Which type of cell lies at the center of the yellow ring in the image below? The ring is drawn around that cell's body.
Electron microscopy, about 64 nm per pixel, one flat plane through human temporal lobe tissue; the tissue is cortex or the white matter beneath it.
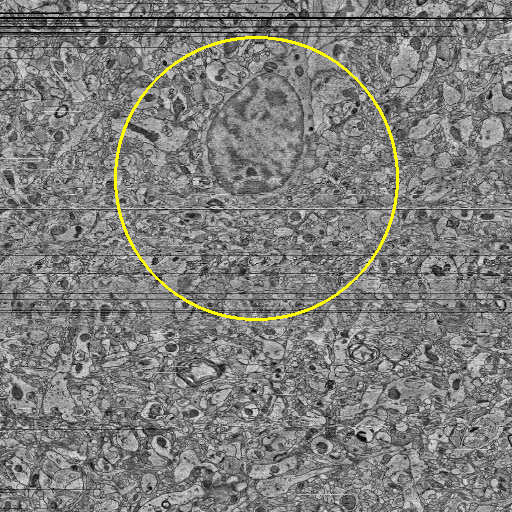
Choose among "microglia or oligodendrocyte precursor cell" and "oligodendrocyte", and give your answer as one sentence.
The cell body at the center belongs to an oligodendrocyte.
